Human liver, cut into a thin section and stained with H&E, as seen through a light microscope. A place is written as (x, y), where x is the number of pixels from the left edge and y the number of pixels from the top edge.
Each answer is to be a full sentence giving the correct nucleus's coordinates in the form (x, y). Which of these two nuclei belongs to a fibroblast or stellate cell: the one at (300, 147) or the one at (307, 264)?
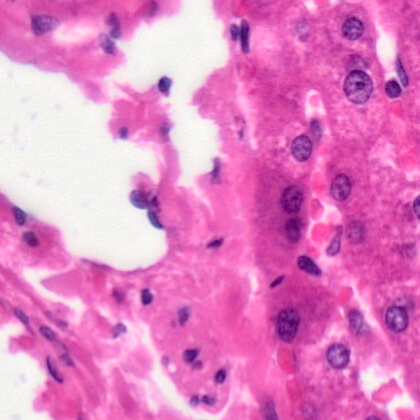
Housed in a fibroblast or stellate cell is the nucleus at (307, 264), not the other one.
